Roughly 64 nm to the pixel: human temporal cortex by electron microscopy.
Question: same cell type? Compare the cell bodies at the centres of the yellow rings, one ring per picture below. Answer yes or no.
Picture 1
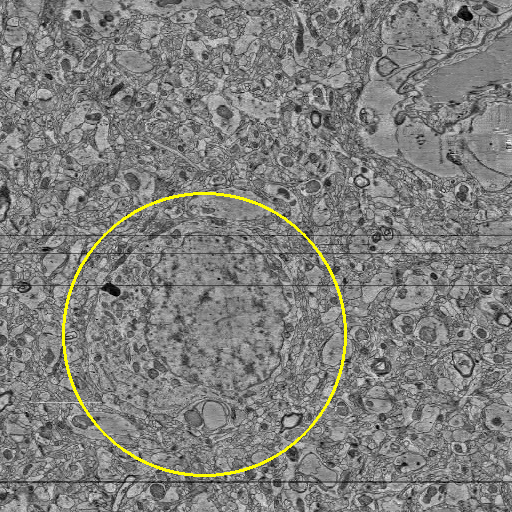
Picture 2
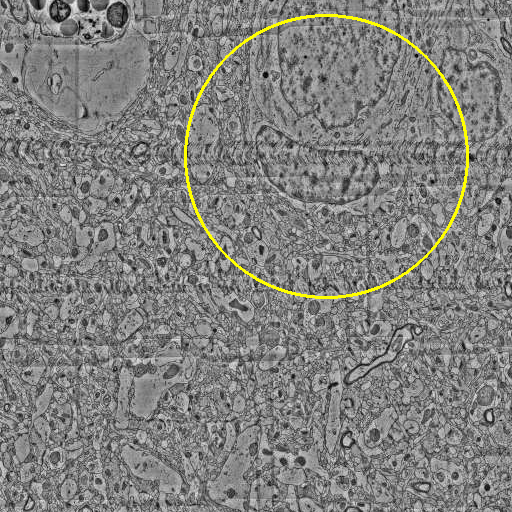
no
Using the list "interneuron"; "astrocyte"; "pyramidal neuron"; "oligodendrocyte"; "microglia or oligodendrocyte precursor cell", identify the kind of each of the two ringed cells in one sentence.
The first is an interneuron and the second is a microglial cell or oligodendrocyte precursor cell.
